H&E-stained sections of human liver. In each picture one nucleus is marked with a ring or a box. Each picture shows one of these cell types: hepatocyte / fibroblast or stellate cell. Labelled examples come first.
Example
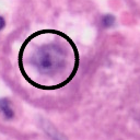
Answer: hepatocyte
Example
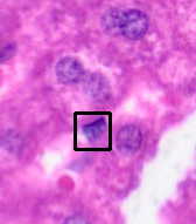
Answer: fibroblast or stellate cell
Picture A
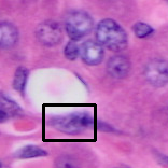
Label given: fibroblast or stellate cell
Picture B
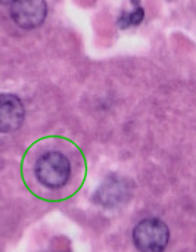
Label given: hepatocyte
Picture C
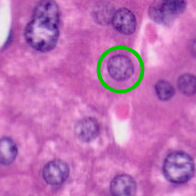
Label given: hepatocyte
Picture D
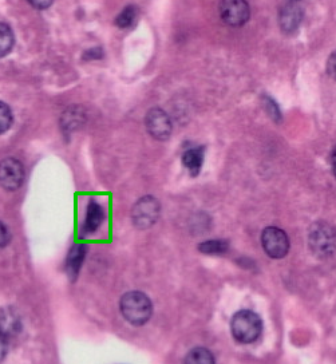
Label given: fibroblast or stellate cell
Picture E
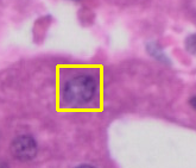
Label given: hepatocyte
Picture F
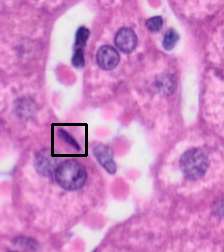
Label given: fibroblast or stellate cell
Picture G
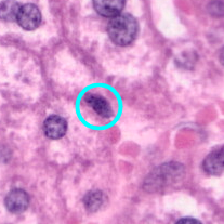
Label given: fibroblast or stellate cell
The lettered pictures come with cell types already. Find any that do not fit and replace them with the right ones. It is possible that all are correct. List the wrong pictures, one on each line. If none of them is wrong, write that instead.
None of the labels needs changing.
